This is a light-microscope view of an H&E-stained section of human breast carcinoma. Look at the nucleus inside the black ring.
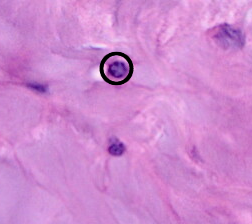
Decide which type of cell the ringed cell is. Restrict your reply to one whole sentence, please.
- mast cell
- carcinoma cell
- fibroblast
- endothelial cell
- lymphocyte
The identity of the ringed cell: it is a mast cell.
